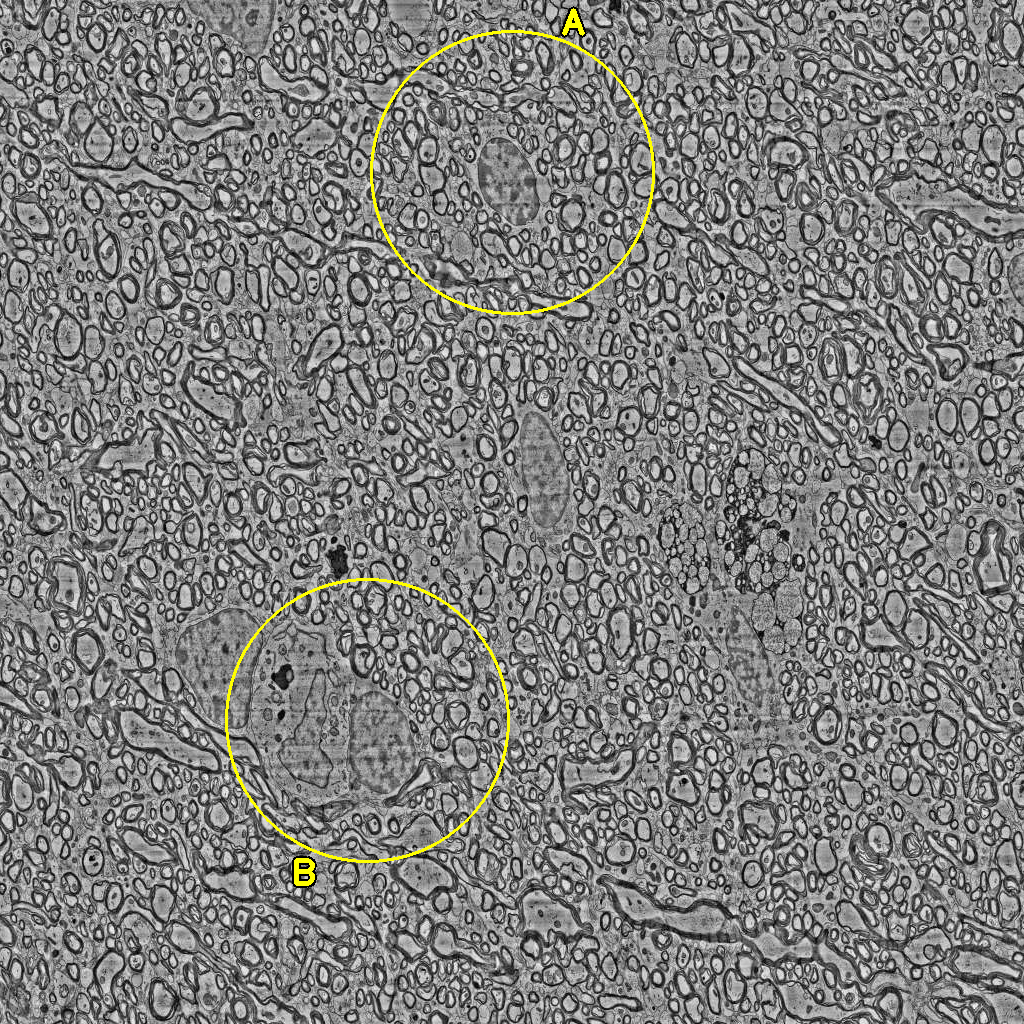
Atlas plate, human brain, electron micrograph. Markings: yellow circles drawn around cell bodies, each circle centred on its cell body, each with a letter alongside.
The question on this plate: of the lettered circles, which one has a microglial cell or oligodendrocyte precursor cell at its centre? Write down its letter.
A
